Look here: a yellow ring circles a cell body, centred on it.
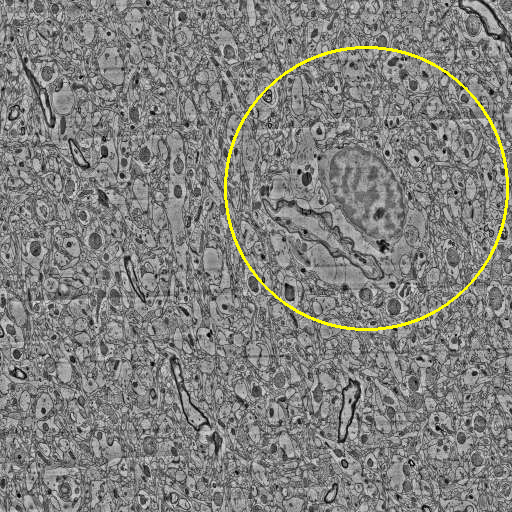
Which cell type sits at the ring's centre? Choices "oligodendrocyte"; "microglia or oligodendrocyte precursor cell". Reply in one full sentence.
The cell at the centre of the yellow ring in the picture is an oligodendrocyte.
